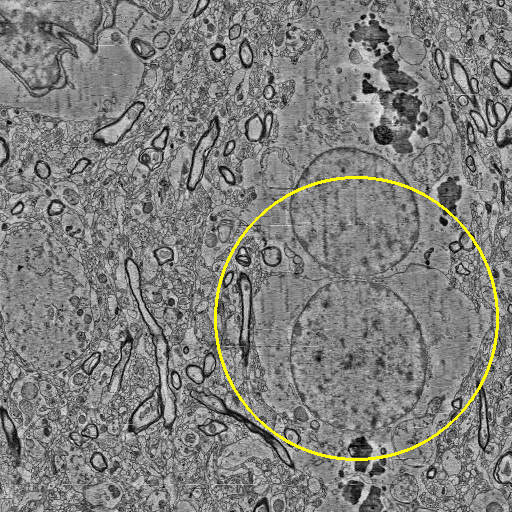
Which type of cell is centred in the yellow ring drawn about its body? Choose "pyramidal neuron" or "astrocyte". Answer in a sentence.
The yellow ring surrounds the cell body of an astrocyte.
